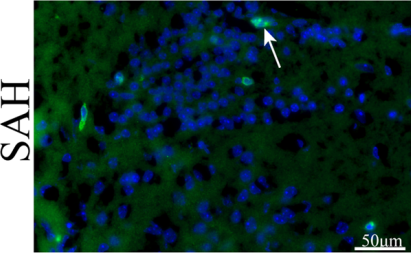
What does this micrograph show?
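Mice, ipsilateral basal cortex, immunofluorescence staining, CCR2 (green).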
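A few small cells stand out with bright green staining outlining their bodies, one of them marked by the white arrow near the top of the field. Others lie toward the left edge and the lower right corner, and a cluster of nuclei is denser in the centre of the field.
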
